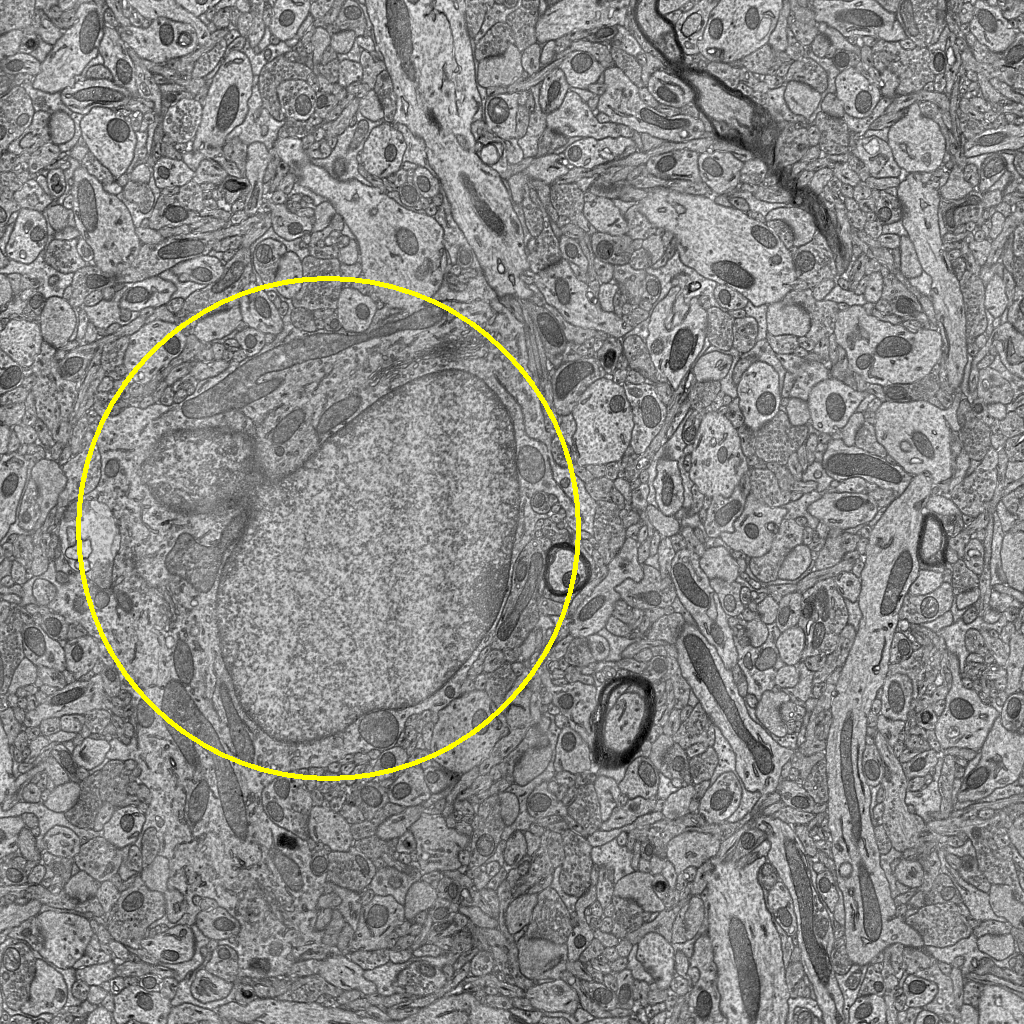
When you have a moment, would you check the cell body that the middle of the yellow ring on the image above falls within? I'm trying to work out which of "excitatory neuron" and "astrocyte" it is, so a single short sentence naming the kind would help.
This cell body belongs to an astrocyte.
